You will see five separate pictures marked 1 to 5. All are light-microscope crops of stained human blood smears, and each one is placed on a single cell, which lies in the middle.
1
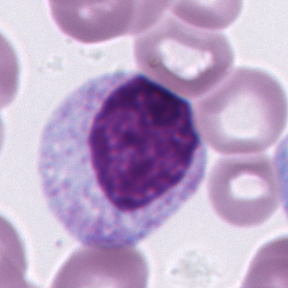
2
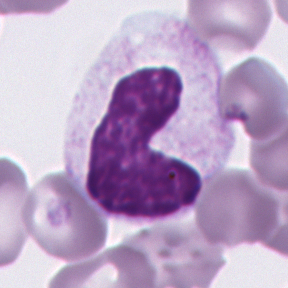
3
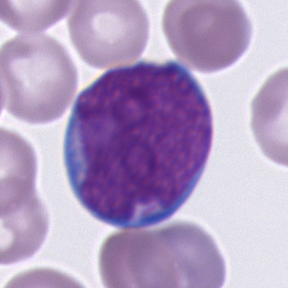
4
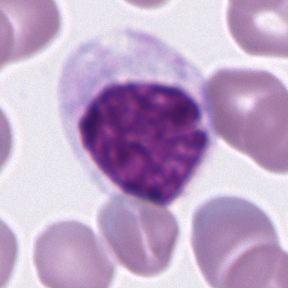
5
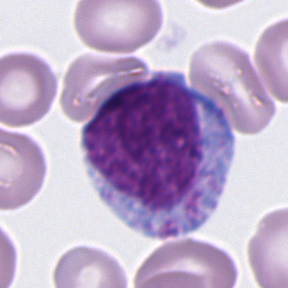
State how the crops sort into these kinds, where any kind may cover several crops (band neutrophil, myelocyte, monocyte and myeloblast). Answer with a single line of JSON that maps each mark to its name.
{"1": "myelocyte", "2": "band neutrophil", "3": "myeloblast", "4": "band neutrophil", "5": "myelocyte"}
